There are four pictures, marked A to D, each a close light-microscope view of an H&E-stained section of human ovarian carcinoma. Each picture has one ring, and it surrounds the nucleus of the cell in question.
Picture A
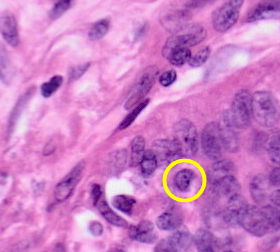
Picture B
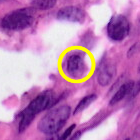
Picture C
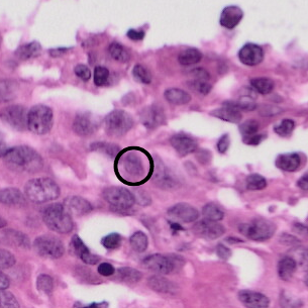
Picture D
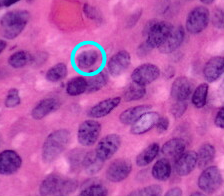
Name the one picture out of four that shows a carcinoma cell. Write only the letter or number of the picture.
C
